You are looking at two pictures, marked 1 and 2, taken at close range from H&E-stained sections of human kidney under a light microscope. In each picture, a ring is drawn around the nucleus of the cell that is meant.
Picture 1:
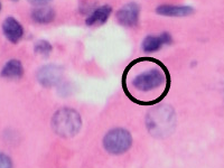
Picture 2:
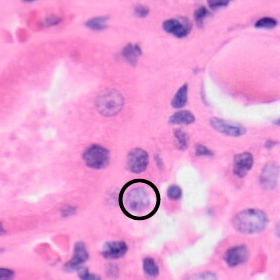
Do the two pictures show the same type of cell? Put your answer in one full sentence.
Yes, they are the same type: both are “loop of Henle or distal tubule cells”.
